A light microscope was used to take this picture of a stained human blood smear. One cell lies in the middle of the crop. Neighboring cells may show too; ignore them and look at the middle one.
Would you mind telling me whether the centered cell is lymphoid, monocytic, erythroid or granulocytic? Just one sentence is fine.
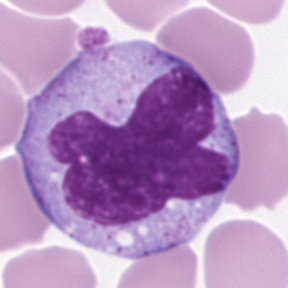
Lineage of the cell at the center of this crop: monocytic.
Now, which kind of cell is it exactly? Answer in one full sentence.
The centrally placed cell is classified as a monocyte.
